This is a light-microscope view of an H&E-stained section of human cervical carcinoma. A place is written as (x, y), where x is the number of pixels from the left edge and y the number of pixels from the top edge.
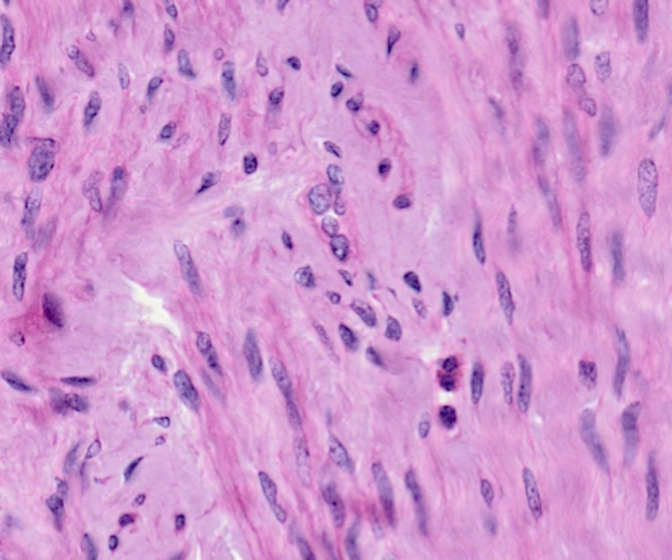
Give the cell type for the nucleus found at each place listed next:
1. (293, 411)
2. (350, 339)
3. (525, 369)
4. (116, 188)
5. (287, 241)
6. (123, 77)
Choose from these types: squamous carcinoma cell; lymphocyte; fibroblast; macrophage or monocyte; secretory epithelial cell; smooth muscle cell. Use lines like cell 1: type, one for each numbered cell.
cell 1: smooth muscle cell
cell 2: fibroblast
cell 3: fibroblast
cell 4: smooth muscle cell
cell 5: smooth muscle cell
cell 6: smooth muscle cell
